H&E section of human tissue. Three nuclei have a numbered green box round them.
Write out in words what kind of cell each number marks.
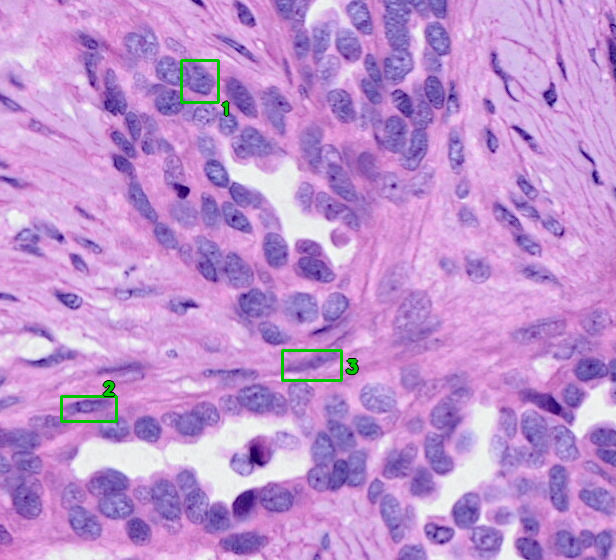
Cell 1 is a carcinoma cell, cell 2 is a fibroblast and cell 3 is a fibroblast.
